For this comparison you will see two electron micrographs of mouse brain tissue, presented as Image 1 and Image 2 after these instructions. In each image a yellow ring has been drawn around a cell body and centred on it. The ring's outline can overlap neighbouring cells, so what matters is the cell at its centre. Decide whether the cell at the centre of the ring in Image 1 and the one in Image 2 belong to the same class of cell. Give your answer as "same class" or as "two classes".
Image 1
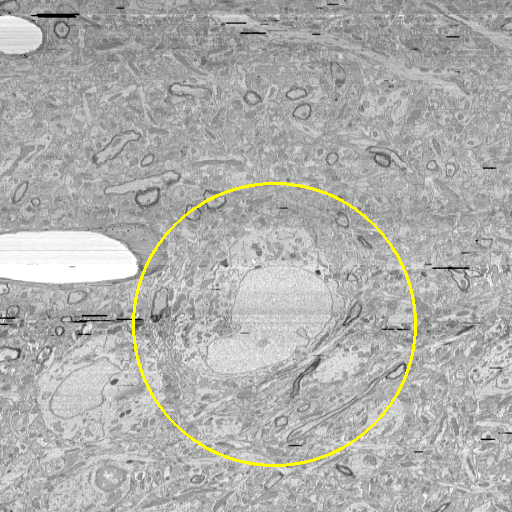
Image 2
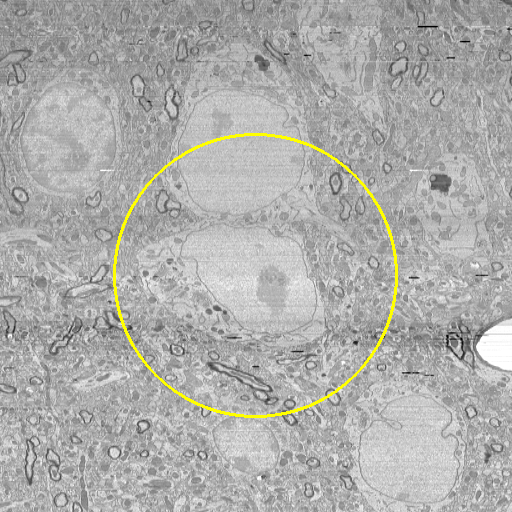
same class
